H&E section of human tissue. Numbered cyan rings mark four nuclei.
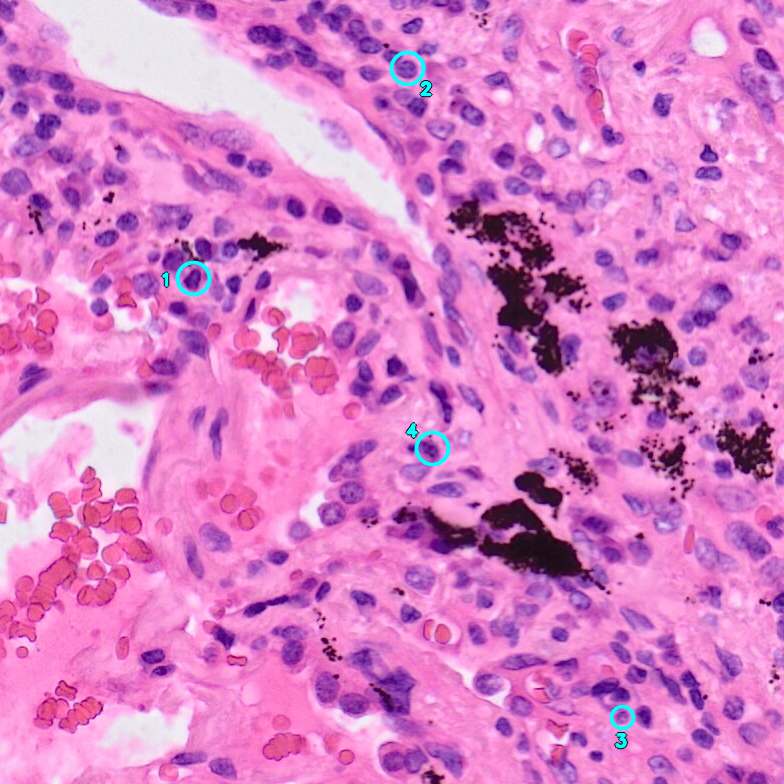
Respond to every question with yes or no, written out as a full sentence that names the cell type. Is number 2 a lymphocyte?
Yes, the cell with number 2 is a lymphocyte.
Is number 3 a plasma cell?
No, cell 3 is a lymphocyte and should not be called a plasma cell.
